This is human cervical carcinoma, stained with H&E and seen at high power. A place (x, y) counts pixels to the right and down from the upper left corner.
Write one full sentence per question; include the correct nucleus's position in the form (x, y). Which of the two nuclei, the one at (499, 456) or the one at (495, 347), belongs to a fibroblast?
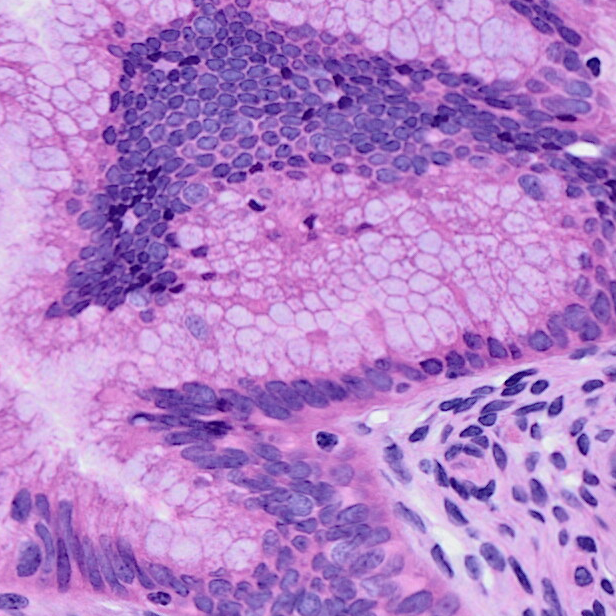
It is the nucleus at (499, 456) that forms part of a fibroblast.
